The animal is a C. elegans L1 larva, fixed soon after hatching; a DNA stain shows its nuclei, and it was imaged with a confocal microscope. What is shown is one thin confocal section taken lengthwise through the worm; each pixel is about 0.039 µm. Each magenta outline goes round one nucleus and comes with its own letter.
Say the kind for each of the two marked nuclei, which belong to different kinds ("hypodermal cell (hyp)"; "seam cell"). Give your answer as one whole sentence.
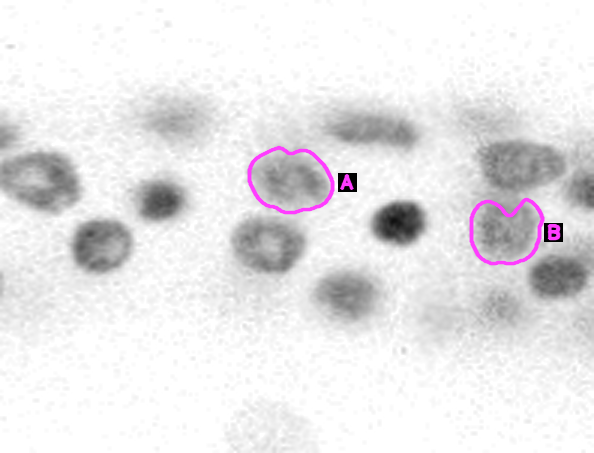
B belongs to a seam cell, and A to a hypodermal cell (hyp).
